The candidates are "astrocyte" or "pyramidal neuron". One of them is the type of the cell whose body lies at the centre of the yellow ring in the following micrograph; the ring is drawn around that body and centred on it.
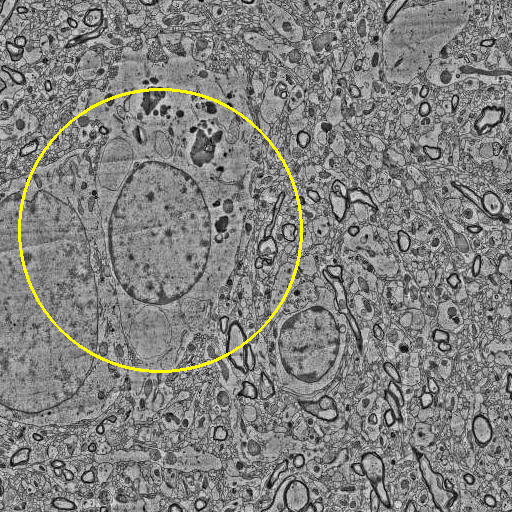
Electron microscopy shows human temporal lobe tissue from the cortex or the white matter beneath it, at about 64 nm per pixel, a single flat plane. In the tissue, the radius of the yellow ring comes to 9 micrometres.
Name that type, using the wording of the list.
astrocyte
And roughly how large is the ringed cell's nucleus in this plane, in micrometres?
The nucleus is approximately 9 micrometers long by 7 micrometers wide in this plane.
